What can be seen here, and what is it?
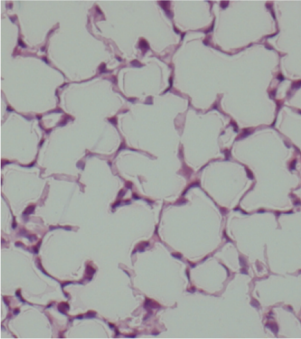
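This is lung parenchyma stained pink and purple, with a lace-like network of thin walls surrounding many clear, polygonal airspaces. The walls are thin and pink, and dark purple nuclei lie scattered along them, often where several walls meet.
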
